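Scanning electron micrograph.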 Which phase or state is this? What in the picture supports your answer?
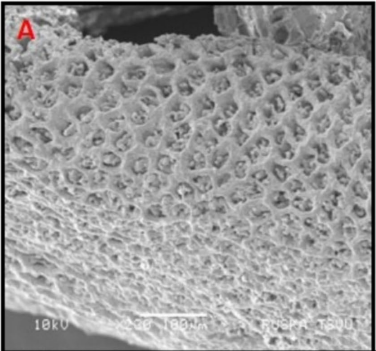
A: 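Normal surface of colon. A regular honeycomb of evenly spaced round crypt openings covers the surface.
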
